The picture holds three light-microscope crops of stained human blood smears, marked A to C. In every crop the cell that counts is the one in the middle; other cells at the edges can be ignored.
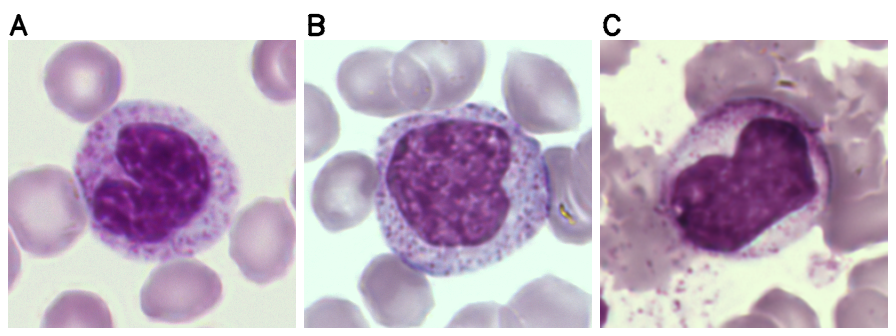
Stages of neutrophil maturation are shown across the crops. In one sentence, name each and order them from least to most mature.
From least to most mature, the order is crop B (a myelocyte), crop C (a metamyelocyte) and crop A (a band neutrophil).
